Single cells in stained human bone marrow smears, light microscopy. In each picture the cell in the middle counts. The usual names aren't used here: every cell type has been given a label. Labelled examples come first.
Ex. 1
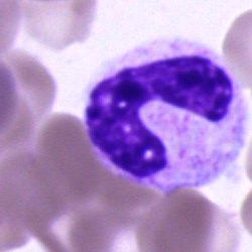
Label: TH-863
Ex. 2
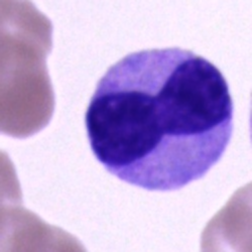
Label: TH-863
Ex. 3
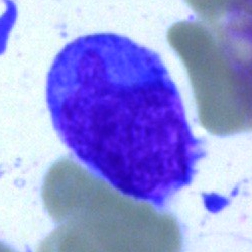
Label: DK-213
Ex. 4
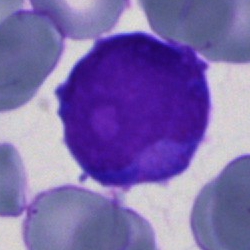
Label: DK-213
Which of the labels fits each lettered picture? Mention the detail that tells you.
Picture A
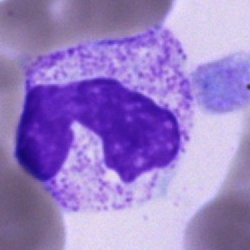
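TH-863. Evidence: The cytoplasm is plentiful and forms its broadest part above the nucleus.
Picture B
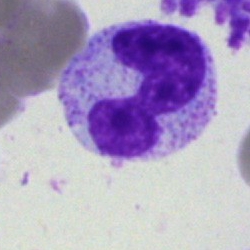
TH-863. Evidence: The nucleus is a thick curved band with a narrowed waist near its middle.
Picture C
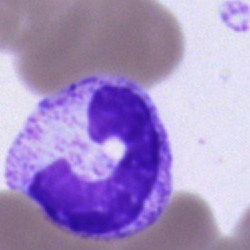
TH-863. Evidence: The nucleus is bent into a C shape whose opening faces left.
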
